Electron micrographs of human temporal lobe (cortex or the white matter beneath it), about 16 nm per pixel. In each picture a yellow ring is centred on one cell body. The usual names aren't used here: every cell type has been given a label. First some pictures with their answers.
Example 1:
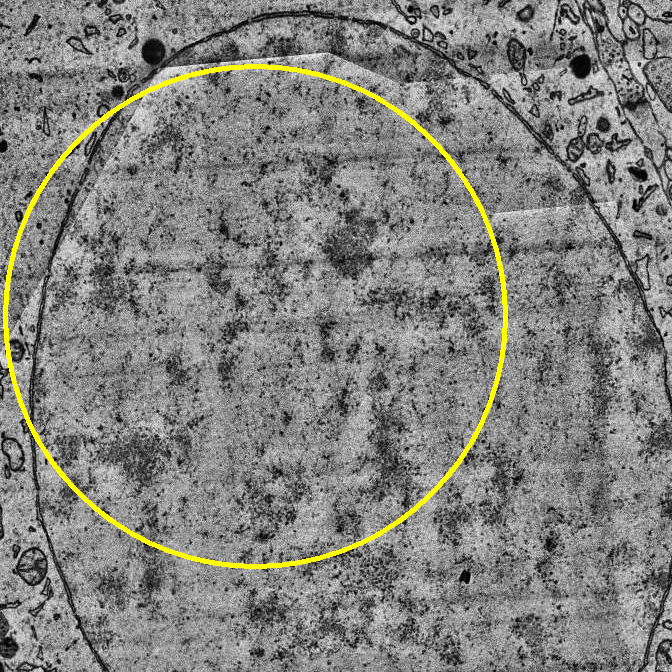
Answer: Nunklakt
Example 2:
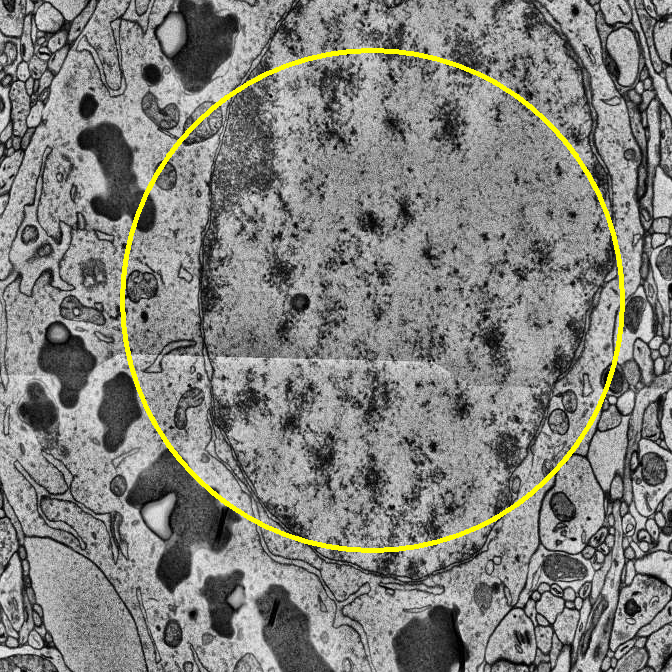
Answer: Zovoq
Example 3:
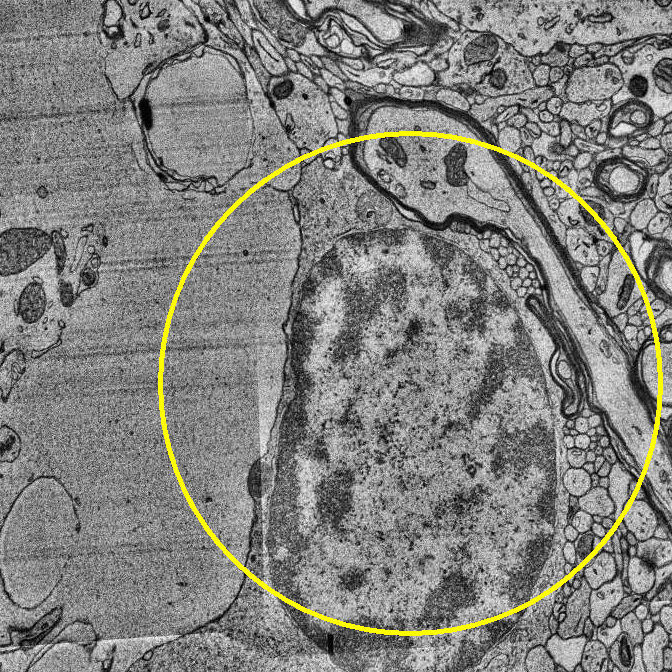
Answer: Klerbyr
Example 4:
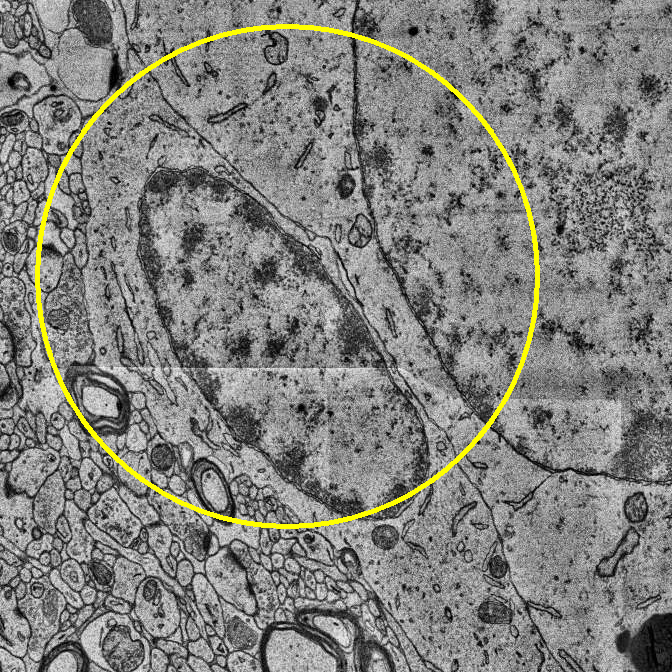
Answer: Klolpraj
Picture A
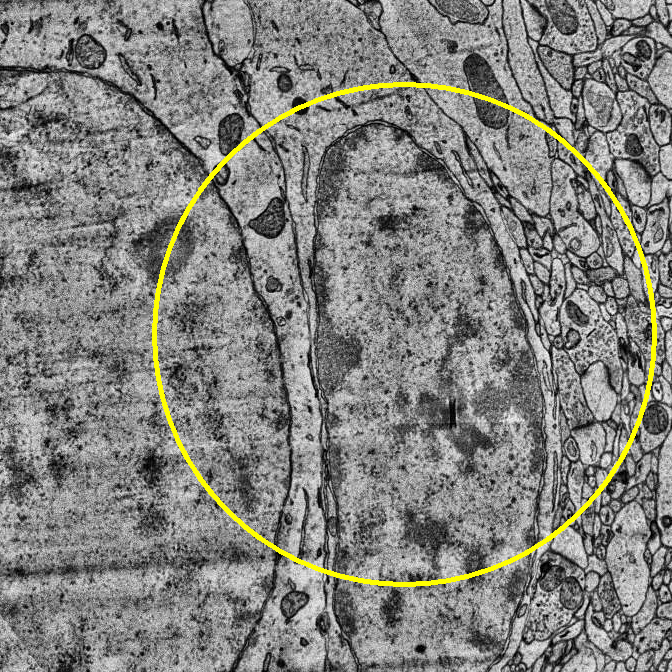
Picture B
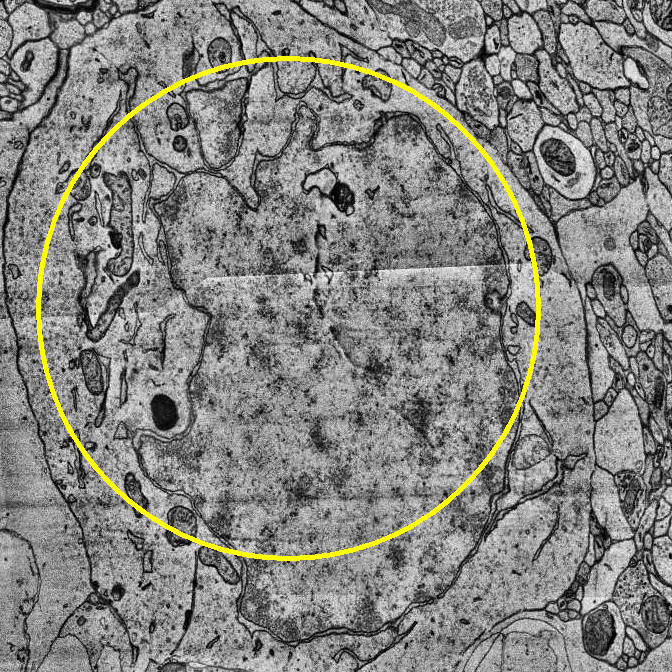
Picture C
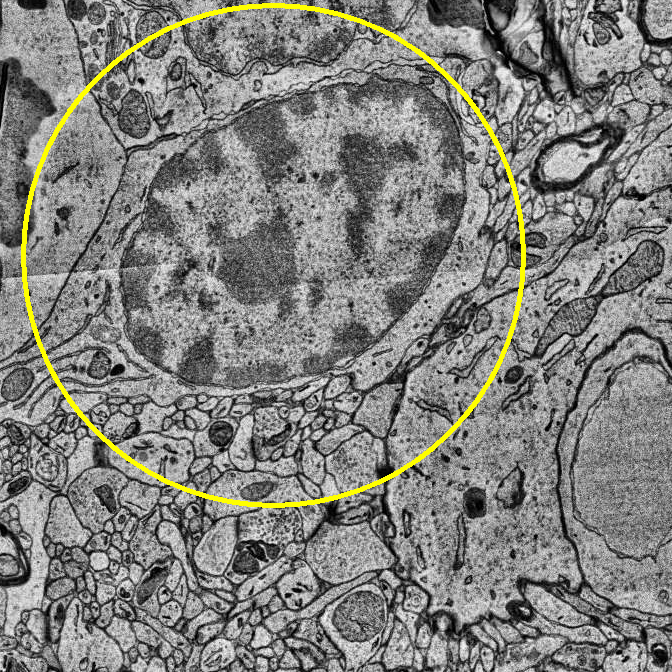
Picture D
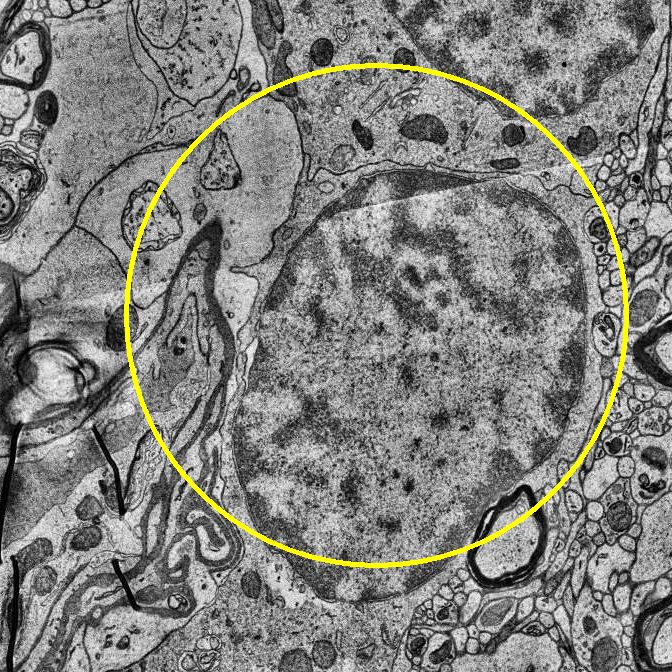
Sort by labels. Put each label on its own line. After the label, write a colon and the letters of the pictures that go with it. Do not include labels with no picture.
Zovoq: B
Klerbyr: D
Klolpraj: A, C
